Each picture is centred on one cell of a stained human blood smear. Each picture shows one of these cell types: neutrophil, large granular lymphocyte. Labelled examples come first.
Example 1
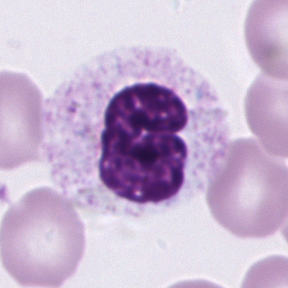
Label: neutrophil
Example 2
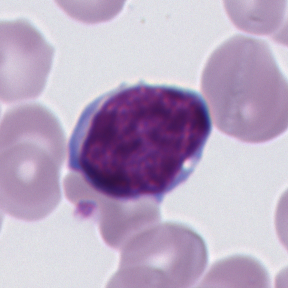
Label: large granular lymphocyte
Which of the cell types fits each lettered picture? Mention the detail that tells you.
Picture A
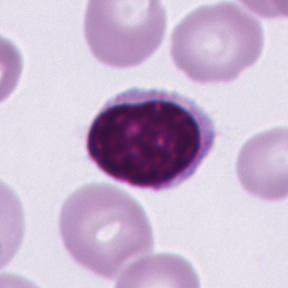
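large granular lymphocyte. The cytoplasm forms only a narrow rim around the nucleus.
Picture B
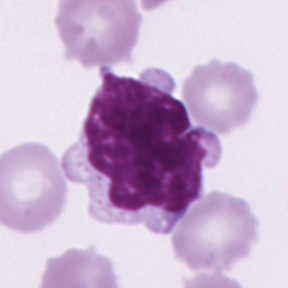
large granular lymphocyte. The nucleus fills most of the cell.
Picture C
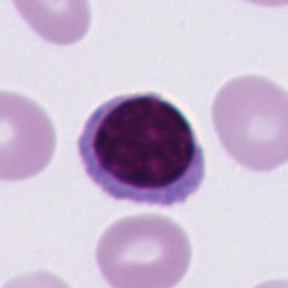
large granular lymphocyte. The cytoplasm forms a narrow rim that is widest on the lower left side.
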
